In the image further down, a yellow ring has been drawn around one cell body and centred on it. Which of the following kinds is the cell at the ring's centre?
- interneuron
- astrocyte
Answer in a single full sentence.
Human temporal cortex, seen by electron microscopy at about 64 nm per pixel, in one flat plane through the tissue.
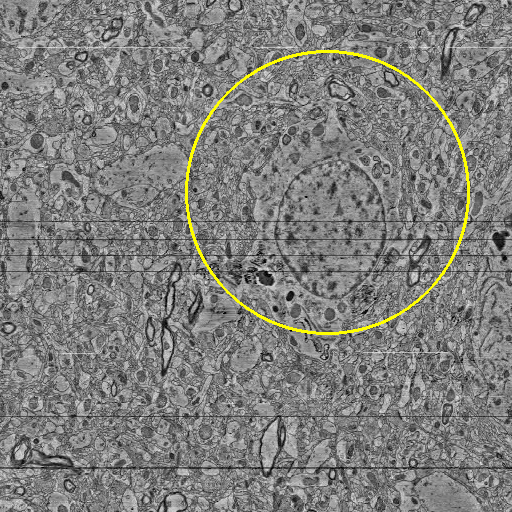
In the picture, the cell sitting at the centre of the yellow ring is an astrocyte.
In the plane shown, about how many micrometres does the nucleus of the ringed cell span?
About 10 by 7 micrometres in this plane.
